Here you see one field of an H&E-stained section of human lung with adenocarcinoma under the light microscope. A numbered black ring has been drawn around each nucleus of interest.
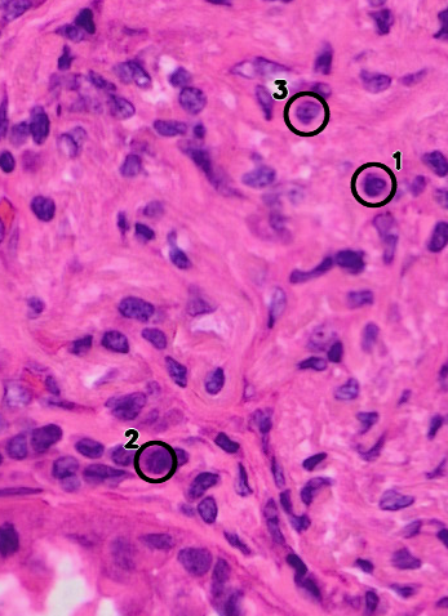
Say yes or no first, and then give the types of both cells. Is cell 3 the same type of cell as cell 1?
Yes, both are lymphocytes.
